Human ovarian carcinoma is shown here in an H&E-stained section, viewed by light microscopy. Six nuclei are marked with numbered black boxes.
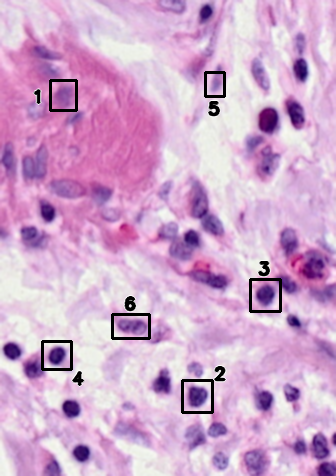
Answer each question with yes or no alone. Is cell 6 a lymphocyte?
no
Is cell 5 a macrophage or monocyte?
yes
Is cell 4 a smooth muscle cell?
no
